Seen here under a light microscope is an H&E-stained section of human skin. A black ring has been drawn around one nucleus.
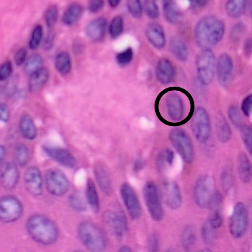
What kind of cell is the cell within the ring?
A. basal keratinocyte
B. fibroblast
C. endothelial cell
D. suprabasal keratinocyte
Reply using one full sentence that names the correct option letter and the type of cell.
What option A states, that the cell within the ring is a basal keratinocyte, is correct.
